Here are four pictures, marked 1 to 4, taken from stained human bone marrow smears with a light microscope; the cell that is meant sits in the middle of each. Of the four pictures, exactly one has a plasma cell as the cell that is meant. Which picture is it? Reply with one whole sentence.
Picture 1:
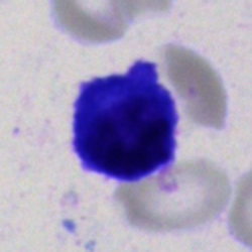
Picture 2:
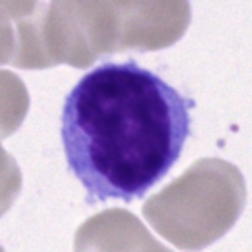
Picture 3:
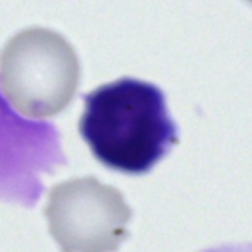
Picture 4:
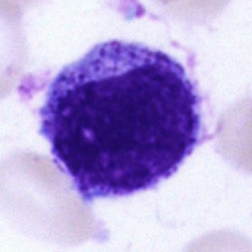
Picture 1 is the one that shows the plasma cell.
